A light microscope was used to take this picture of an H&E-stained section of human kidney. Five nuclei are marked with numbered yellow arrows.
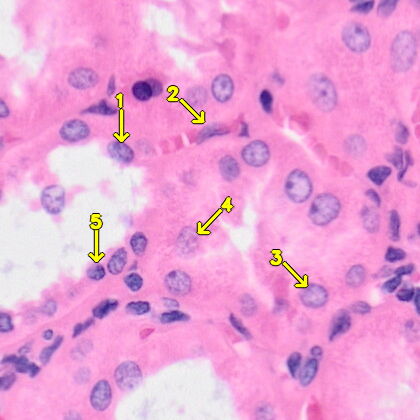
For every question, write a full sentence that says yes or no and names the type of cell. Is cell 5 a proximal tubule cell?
No, the marked cell 5 is not a proximal tubule cell, being instead a loop of Henle or distal tubule cell.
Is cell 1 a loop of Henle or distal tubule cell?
Yes, the one numbered 1 is a loop of Henle or distal tubule cell.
